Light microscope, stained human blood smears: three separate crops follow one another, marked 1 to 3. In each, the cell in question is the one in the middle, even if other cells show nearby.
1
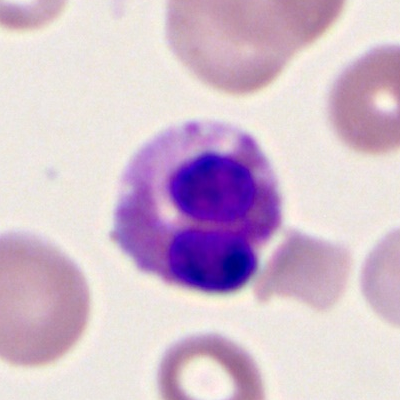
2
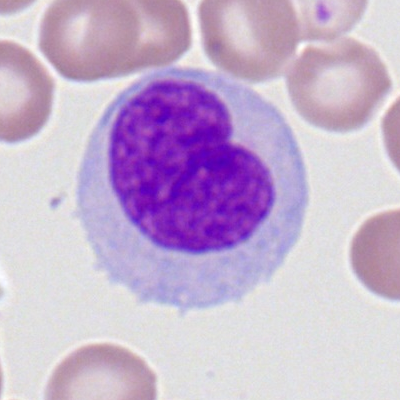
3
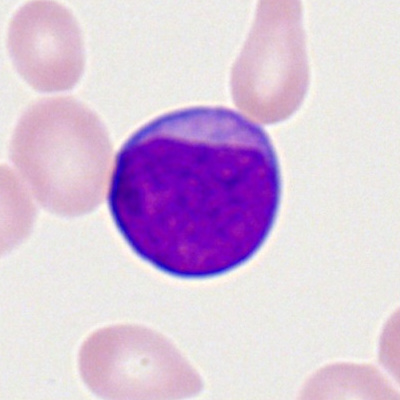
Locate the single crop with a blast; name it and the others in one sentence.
In the series, crop 3 depicts a blast, while crop 1 is an eosinophil and crop 2 is a monocyte.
